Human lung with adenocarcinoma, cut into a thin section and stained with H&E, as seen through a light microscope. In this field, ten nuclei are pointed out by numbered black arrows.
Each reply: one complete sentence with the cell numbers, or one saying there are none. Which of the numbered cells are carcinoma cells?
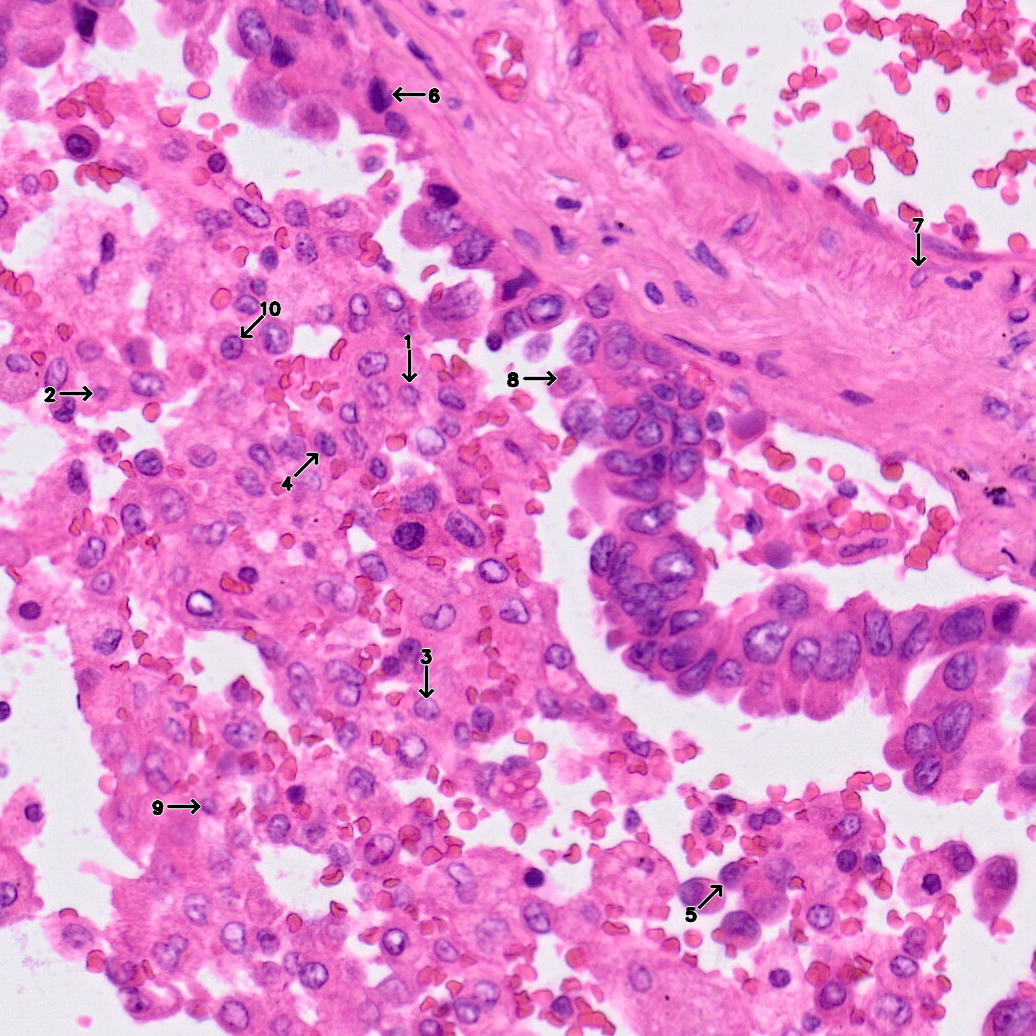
The cells labelled 5, 6 and 8 in this section are carcinoma cells.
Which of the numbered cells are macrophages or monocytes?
The cells assigned the numbers 1, 2, 3, 4, 9 and 10 are macrophages or monocytes.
